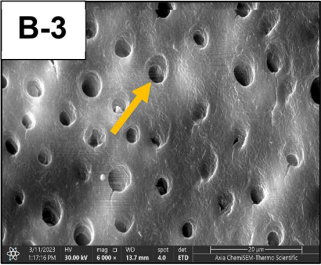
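This is a dentin surface seen by scanning electron microscopy, studded with the round openings of dentinal tubules. The surface between the openings is smooth, with little loose debris lying on it. The openings are dark, round to oval and of varying size, and they look open rather than plugged. They are scattered fairly evenly across the field.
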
